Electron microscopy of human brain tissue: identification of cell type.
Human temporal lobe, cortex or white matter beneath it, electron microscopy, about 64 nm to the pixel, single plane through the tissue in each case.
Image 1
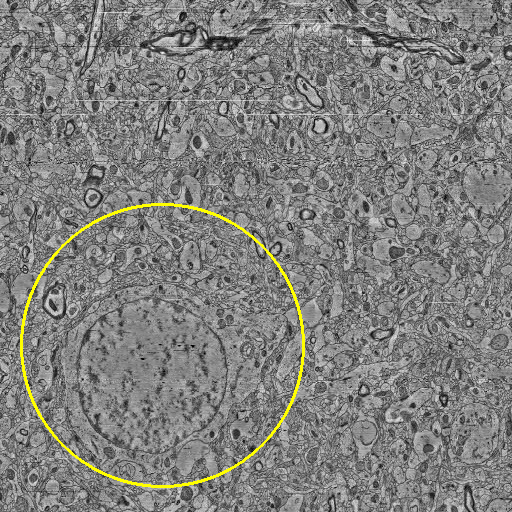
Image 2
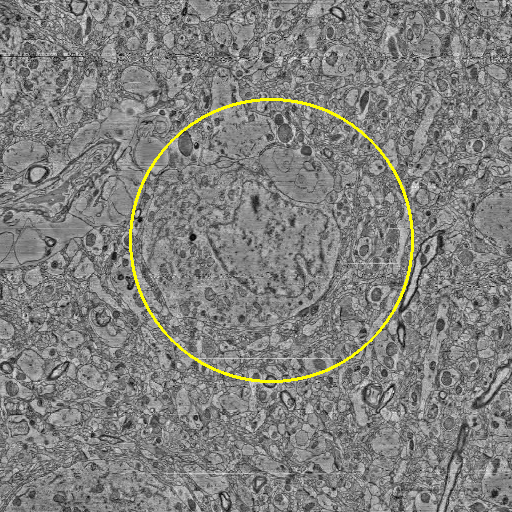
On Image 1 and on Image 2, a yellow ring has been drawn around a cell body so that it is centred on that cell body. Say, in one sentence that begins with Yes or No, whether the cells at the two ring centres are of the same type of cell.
Yes, both cells are the same type of cell.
